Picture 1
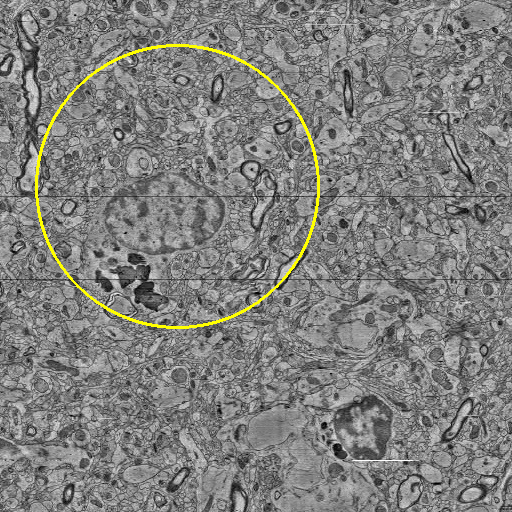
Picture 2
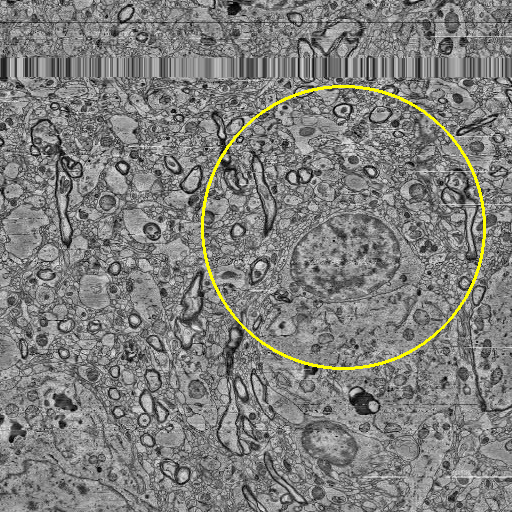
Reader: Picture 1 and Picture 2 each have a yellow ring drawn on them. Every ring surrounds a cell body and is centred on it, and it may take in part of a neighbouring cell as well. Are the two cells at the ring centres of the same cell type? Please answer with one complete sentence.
Yes, both cells are of the same cell type.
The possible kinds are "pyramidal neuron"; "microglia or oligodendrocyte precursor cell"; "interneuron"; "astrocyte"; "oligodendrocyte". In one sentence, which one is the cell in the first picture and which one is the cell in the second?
Both pictures show an oligodendrocyte at the centre of the ring.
